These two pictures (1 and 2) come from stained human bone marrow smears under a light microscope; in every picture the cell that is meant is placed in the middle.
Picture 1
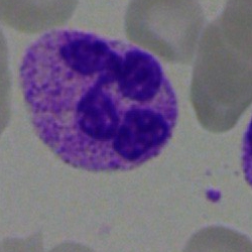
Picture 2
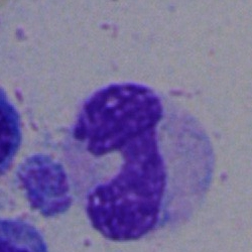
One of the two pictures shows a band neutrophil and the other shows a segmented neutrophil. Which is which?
1: segmented neutrophil
2: band neutrophil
